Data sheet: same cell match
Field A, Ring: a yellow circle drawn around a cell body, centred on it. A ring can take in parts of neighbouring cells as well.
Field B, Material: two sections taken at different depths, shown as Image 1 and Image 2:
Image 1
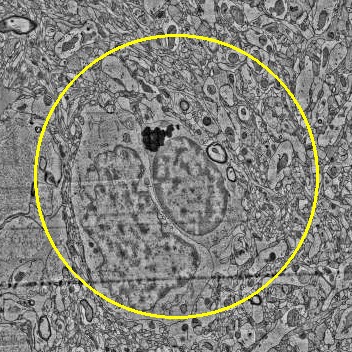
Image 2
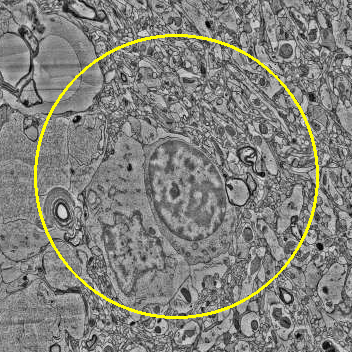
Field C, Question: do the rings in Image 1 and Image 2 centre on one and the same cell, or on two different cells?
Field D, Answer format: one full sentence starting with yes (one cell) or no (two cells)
Yes, what the two rings mark is one cell.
